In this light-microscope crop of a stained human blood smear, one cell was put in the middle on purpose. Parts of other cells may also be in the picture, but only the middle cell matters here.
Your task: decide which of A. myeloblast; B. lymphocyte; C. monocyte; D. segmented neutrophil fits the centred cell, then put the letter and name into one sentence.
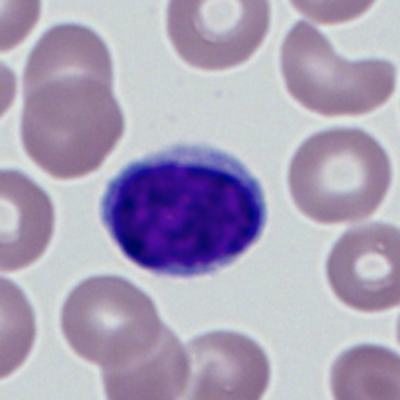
According to option B, which is correct, the cell in the middle is a lymphocyte.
